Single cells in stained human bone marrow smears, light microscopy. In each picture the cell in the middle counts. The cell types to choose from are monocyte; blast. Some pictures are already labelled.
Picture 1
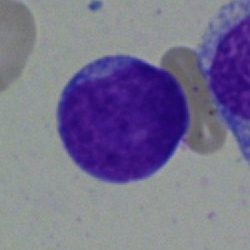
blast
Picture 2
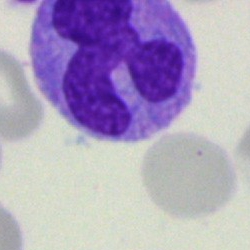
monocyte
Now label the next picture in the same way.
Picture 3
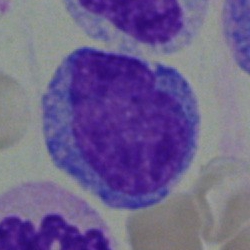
blast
